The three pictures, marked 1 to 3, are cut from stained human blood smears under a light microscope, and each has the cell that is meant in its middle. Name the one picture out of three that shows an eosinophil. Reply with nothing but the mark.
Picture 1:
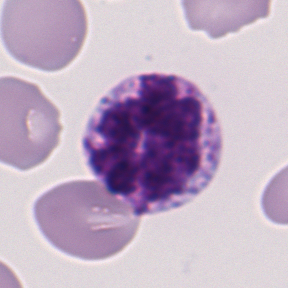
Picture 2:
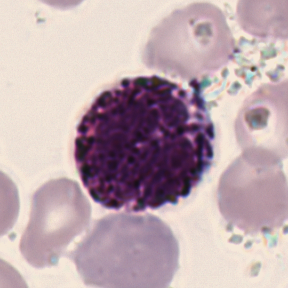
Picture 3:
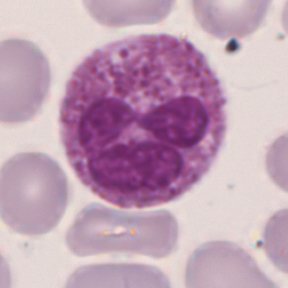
3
